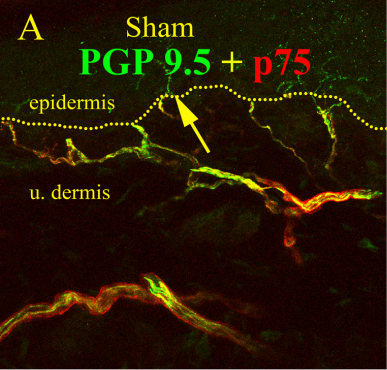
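Thin wavy fibers run along just below the junction, and a thick bundle of parallel fibers lies deeper in the dermis; most fibers appear yellow where green and red overlap. A fine green fiber rises across the junction into the epidermis without the red sheath.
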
